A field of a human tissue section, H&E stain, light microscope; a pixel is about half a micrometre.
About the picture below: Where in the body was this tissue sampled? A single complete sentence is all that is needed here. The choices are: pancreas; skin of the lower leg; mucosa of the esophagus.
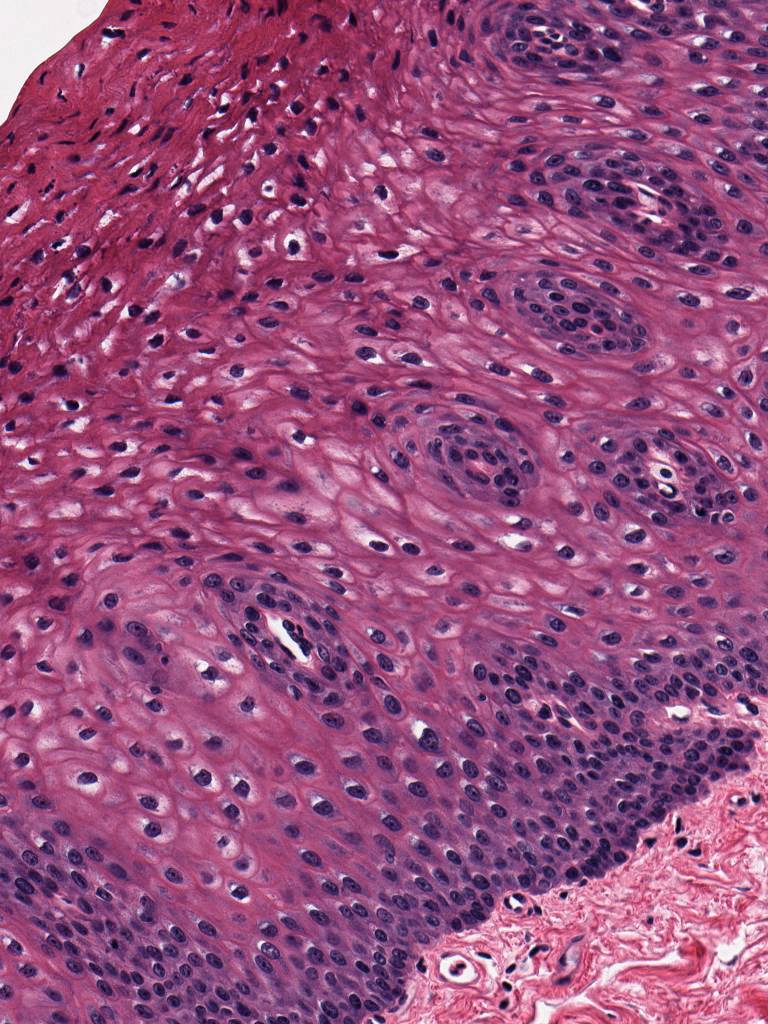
A sample from the mucosa of the esophagus makes up this section.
